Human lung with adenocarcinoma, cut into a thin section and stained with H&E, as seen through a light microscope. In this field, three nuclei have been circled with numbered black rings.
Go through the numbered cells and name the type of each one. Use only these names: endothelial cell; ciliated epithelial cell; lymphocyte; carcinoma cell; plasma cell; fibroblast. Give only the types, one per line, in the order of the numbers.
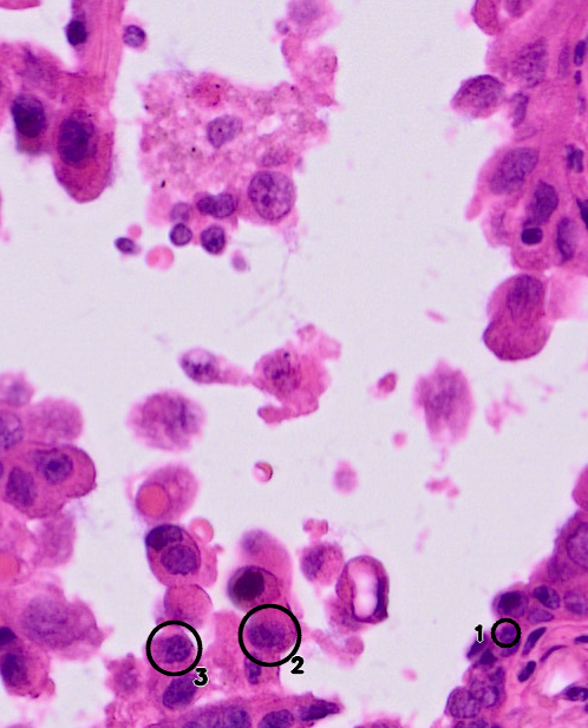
ciliated epithelial cell
carcinoma cell
carcinoma cell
